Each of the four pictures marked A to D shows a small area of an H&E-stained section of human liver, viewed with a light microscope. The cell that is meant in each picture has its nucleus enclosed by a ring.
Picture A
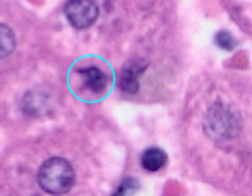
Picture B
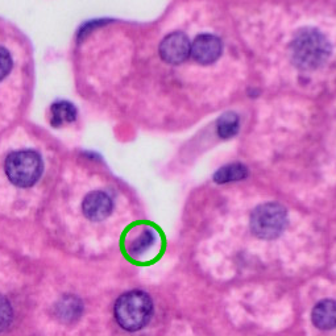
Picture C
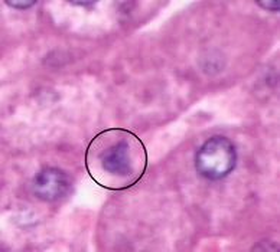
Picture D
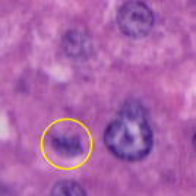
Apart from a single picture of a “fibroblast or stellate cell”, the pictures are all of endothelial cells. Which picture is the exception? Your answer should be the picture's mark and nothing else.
A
